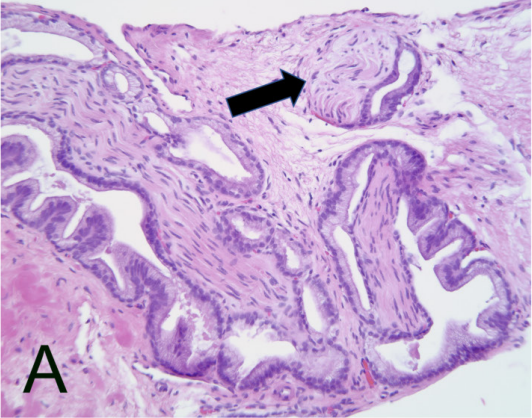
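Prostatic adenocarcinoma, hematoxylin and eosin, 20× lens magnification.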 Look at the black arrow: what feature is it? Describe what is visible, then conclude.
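Small nerve. The arrow points to a small oval bundle of pale pink, wavy fibres. A gland lined by dark epithelium curves tightly along one side of the bundle.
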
